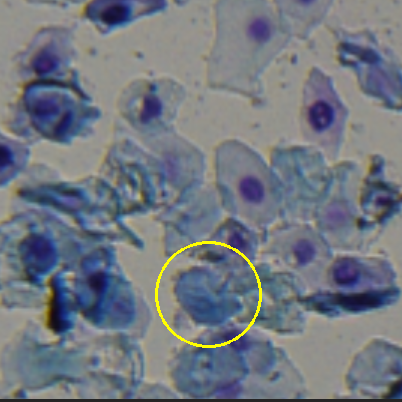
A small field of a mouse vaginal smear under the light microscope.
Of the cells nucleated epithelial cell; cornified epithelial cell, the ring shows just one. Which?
The ring shows a cornified epithelial cell.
